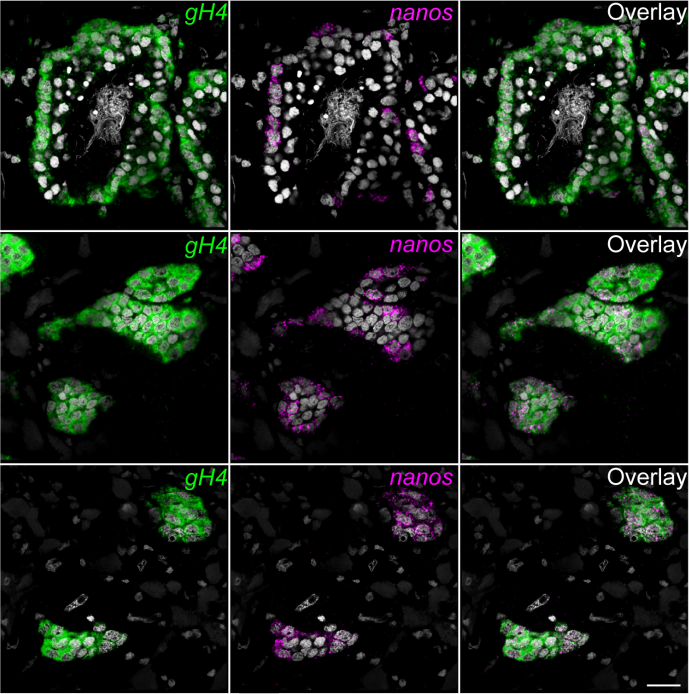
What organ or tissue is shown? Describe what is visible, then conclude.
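Discrete lobes of tightly packed cells with round grey nuclei. The top row shows a large lobe wrapped around a central mass of fibrous grey material. Cells at the rim of the lobes carry magenta dots.
Testes.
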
